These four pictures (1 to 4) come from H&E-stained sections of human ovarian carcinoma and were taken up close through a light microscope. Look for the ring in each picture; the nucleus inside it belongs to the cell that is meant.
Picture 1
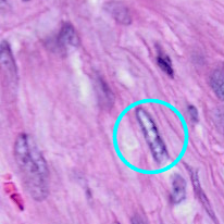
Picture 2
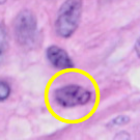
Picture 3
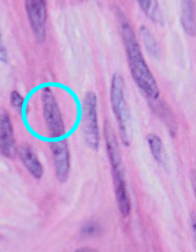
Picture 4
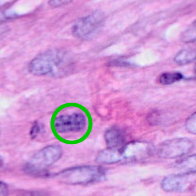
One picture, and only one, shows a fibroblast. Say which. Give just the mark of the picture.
1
